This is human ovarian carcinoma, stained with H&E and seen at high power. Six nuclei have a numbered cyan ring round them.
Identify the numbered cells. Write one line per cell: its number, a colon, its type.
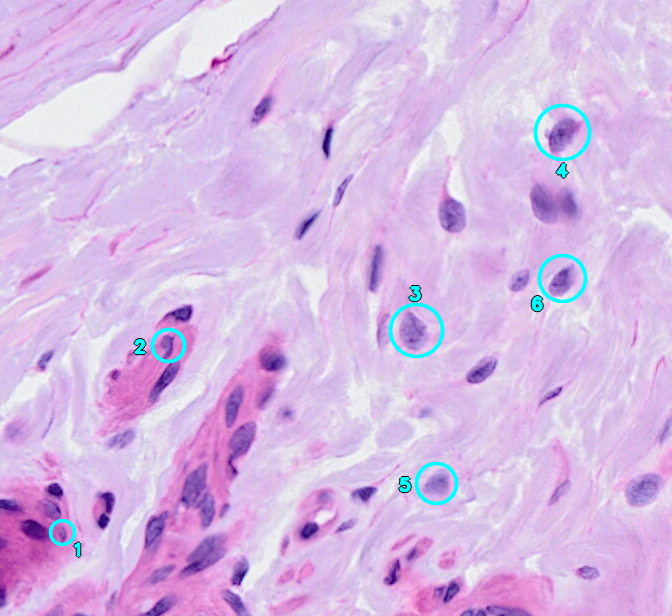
1: smooth muscle cell
2: smooth muscle cell
3: fibroblast
4: fibroblast
5: fibroblast
6: fibroblast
